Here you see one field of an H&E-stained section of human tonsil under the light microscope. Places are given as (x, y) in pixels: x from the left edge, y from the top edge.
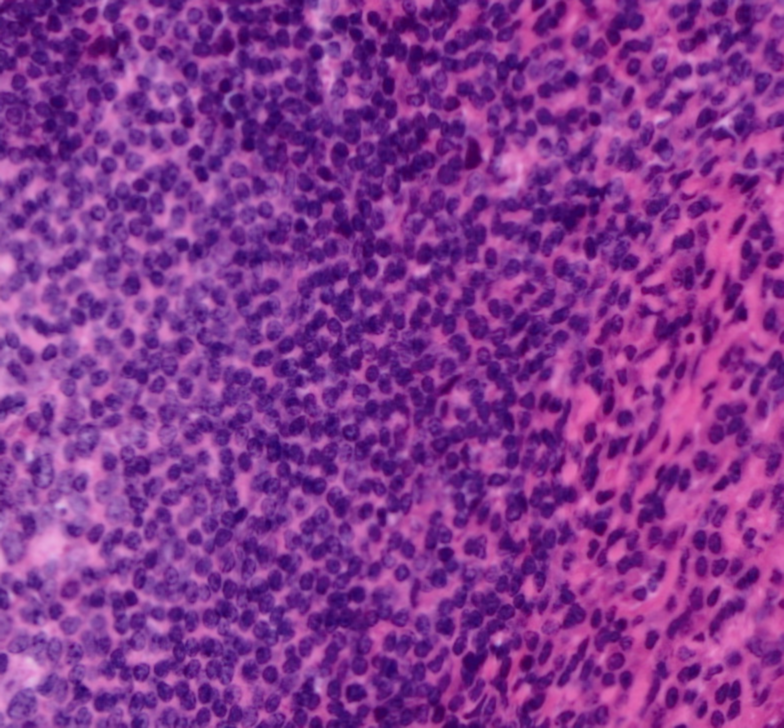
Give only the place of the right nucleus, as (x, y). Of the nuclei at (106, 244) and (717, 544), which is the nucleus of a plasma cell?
(717, 544)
